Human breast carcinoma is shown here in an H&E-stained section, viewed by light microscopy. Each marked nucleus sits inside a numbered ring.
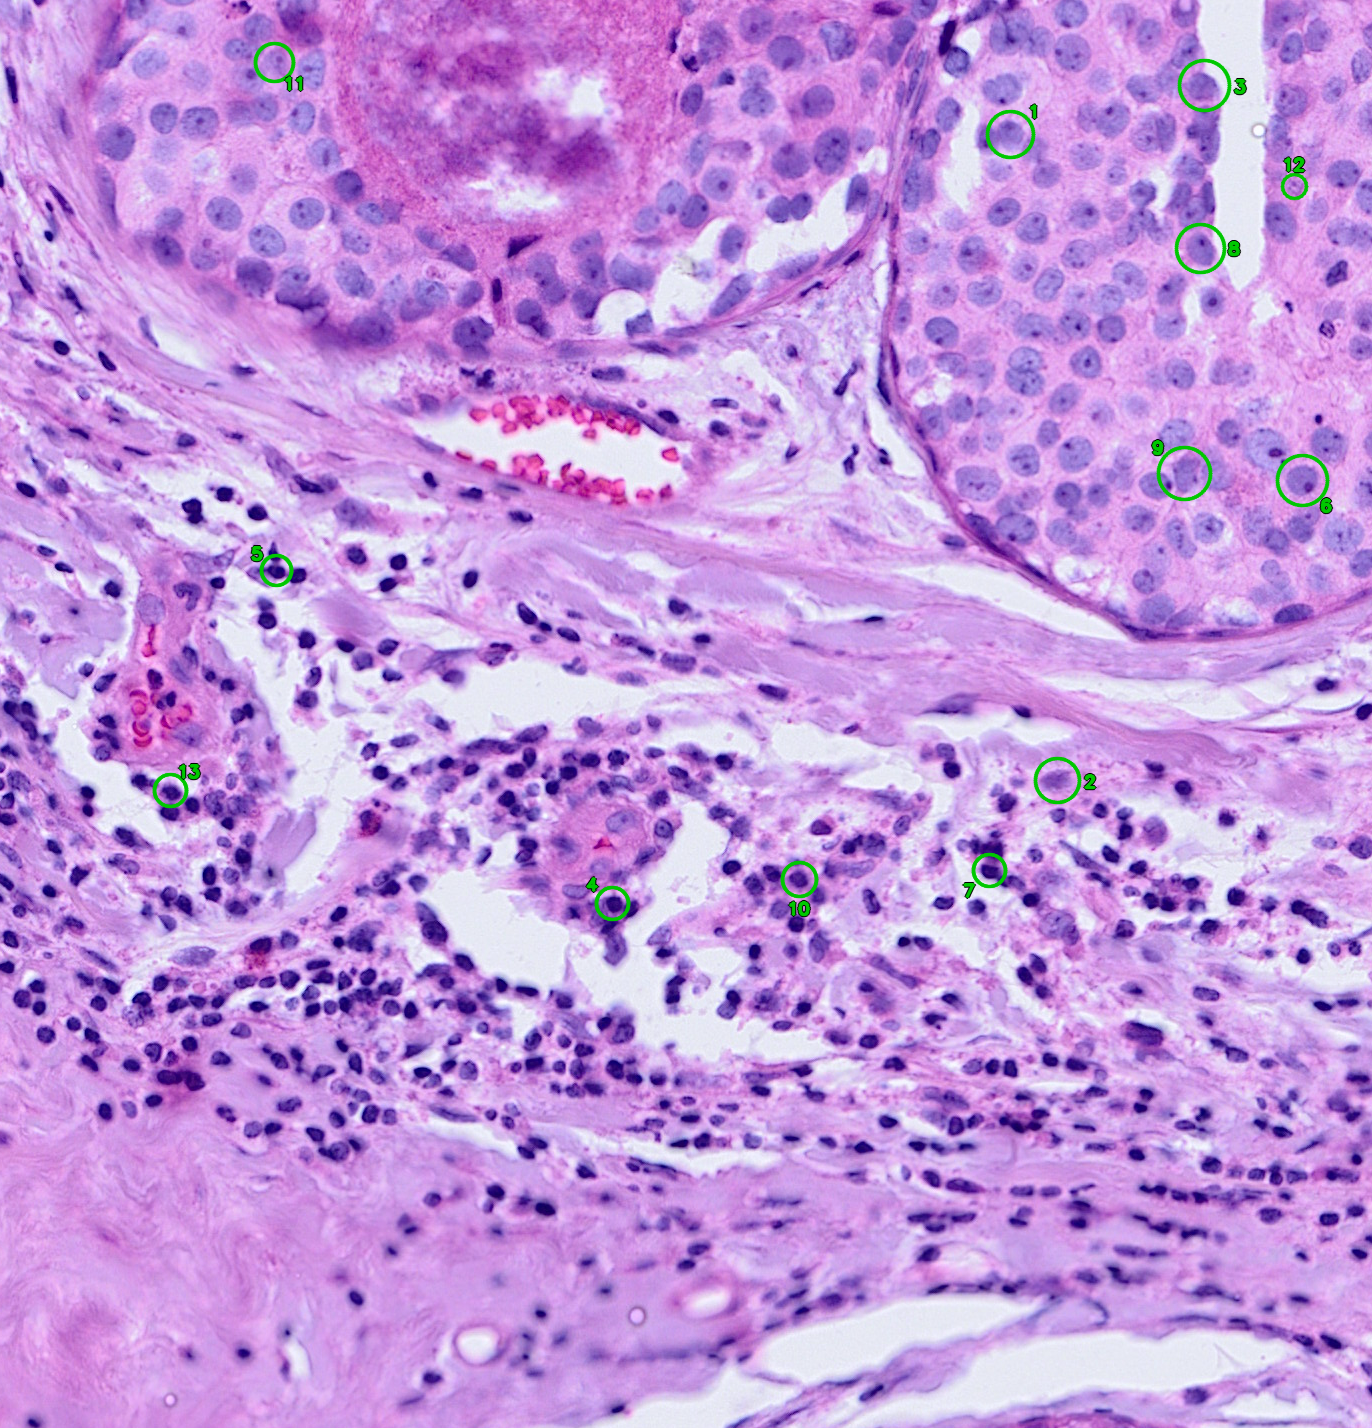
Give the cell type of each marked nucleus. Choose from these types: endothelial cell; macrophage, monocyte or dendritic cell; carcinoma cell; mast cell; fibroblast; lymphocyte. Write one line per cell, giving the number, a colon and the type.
1: carcinoma cell
2: fibroblast
3: carcinoma cell
4: lymphocyte
5: lymphocyte
6: carcinoma cell
7: lymphocyte
8: carcinoma cell
9: carcinoma cell
10: lymphocyte
11: carcinoma cell
12: carcinoma cell
13: lymphocyte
